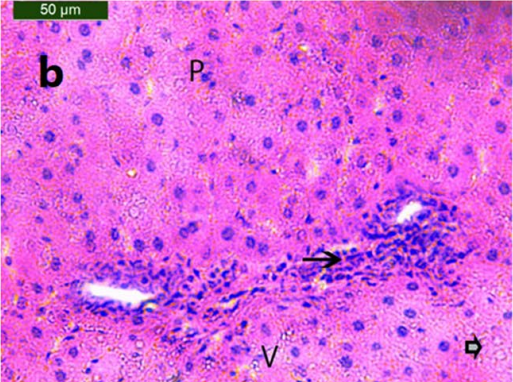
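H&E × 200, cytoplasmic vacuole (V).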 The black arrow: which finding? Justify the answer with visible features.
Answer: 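A dense band of small, dark blue round nuclei surrounds two vessels. These small cells are crowded and much smaller than the neighbouring hepatocytes. That points to this answer: lymphocytic infiltration.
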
